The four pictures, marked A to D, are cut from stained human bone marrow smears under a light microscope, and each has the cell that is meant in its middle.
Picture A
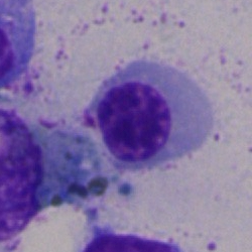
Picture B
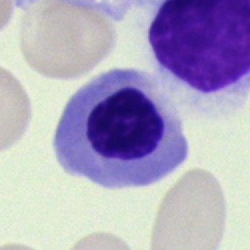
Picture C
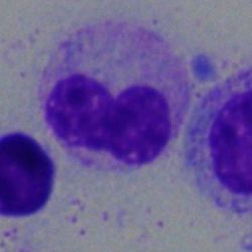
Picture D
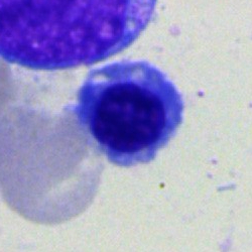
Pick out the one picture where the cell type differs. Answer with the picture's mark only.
C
